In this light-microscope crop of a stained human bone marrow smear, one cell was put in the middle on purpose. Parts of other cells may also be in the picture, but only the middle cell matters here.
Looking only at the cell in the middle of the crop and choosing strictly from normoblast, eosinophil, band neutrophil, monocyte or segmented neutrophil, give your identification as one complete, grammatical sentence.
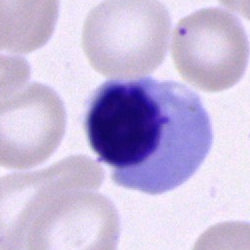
Answering briefly, the cell in the middle is a normoblast.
